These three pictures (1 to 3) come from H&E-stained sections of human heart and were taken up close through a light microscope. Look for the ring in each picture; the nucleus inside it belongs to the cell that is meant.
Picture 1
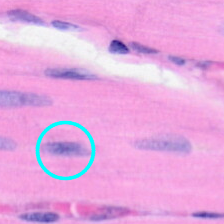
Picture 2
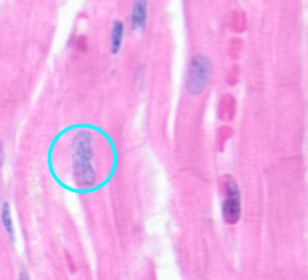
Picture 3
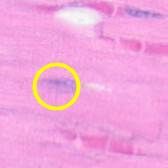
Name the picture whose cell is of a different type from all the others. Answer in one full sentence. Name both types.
The different one is picture 1; it shows an endothelial cell, whereas all the others show cardiomyocytes.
